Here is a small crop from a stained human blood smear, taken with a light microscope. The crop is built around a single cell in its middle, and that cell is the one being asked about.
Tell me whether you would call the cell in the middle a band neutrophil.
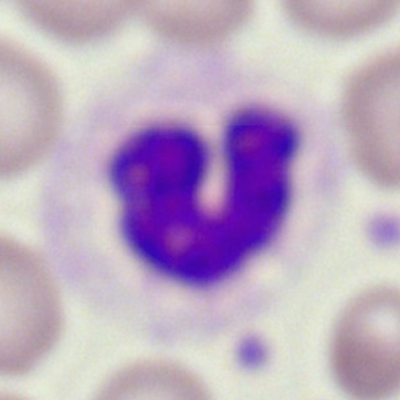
yes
